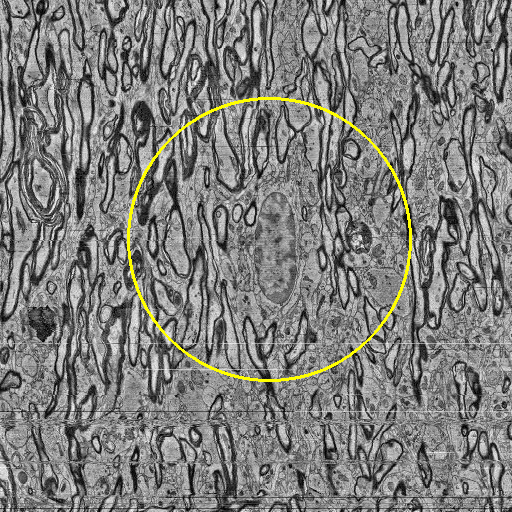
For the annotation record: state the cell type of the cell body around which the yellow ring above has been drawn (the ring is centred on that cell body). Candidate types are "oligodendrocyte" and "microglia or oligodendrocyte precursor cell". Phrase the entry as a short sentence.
The ringed cell is a microglial cell or oligodendrocyte precursor cell.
